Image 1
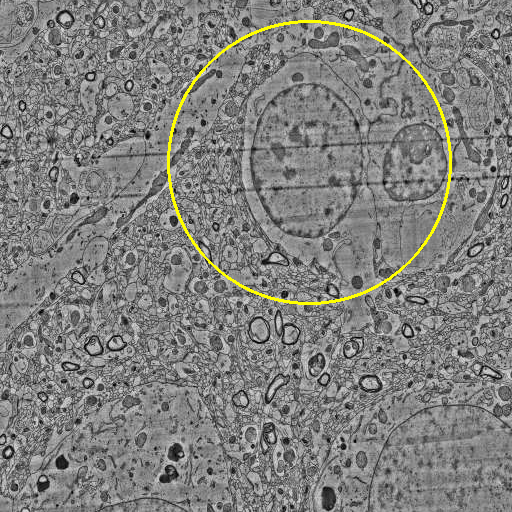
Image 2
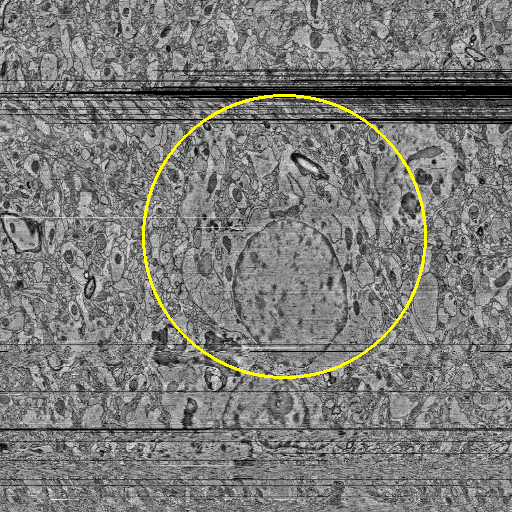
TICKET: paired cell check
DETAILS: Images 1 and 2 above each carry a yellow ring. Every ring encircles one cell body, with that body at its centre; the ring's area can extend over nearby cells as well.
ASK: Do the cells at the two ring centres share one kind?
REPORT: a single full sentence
Yes, the ring-centre cells of Images 1 and 2 belong to a single kind.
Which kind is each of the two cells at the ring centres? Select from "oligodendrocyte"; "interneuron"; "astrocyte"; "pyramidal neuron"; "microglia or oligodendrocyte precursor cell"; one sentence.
The first and the second cell are each an astrocyte.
